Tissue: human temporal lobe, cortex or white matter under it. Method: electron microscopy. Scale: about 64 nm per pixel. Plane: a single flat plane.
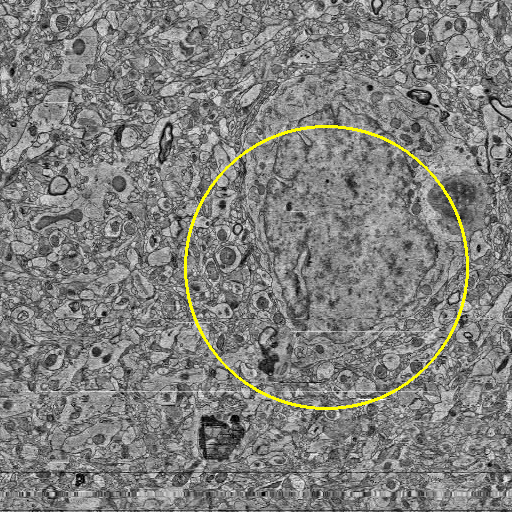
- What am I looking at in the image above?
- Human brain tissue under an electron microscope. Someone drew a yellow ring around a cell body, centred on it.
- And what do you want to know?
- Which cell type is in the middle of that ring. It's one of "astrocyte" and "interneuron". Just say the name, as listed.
interneuron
